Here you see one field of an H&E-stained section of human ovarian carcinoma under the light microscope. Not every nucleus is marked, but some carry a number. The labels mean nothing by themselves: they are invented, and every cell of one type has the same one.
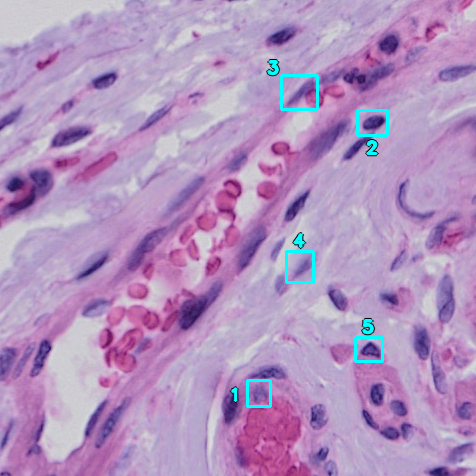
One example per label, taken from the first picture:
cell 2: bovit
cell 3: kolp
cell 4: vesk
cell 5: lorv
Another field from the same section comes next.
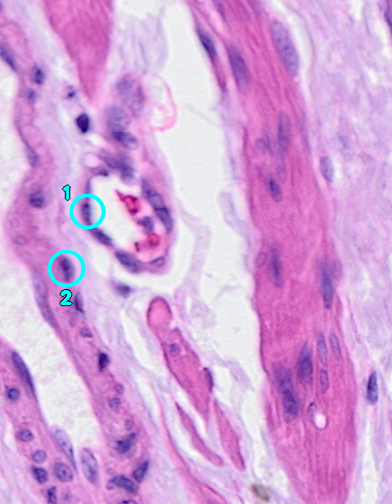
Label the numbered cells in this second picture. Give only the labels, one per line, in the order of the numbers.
kolp
lorv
